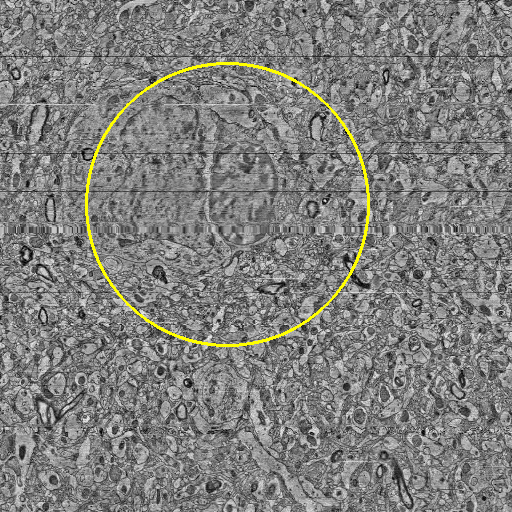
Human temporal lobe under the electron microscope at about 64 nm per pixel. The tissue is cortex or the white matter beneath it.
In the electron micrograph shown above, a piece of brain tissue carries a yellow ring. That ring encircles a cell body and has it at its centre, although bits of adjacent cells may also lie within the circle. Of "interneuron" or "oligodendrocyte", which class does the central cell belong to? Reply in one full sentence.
The cell body at the centre of the yellow ring belongs to an oligodendrocyte.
